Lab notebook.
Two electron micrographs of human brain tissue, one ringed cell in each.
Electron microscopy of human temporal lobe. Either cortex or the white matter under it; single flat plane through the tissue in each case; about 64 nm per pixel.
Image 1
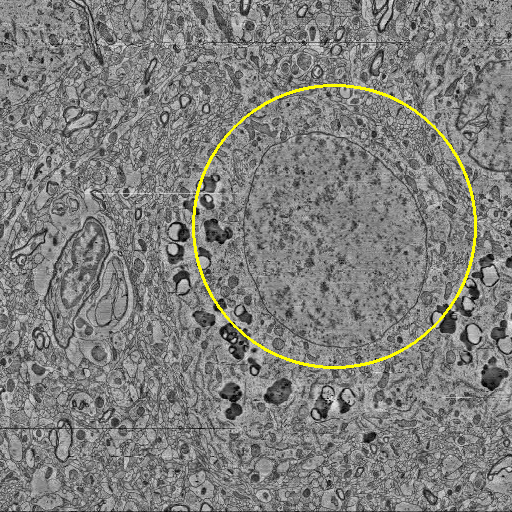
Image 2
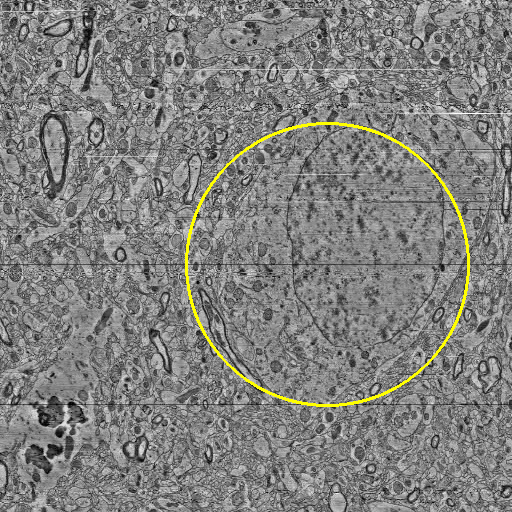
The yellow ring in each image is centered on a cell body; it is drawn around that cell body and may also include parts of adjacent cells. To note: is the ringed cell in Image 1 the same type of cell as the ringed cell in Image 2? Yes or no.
yes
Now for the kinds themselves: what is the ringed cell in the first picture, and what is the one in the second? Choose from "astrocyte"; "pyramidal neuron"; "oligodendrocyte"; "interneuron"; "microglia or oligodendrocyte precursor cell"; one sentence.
Each one of the two ringed cells is a pyramidal neuron.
